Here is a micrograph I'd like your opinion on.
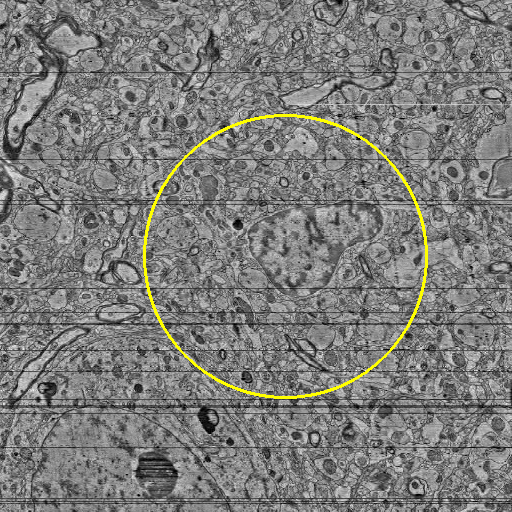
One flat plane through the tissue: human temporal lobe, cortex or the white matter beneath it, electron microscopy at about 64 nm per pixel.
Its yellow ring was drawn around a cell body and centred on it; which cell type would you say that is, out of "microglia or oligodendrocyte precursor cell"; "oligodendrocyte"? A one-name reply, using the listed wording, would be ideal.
microglia or oligodendrocyte precursor cell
